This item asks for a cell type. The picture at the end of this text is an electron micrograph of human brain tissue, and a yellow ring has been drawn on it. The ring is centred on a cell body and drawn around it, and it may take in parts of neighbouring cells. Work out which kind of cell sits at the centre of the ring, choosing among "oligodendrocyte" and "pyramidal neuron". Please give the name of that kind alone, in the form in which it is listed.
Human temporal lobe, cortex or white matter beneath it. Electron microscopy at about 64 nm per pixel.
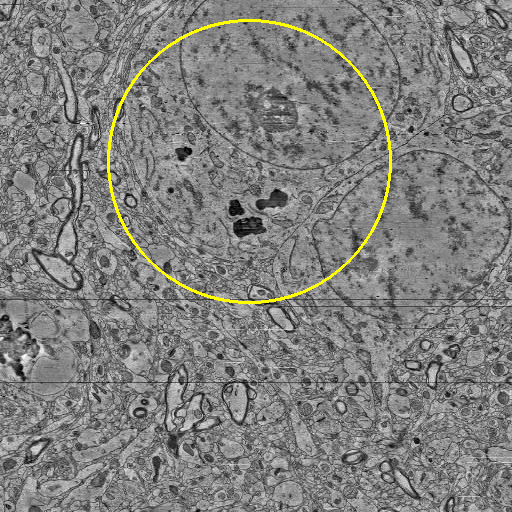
pyramidal neuron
